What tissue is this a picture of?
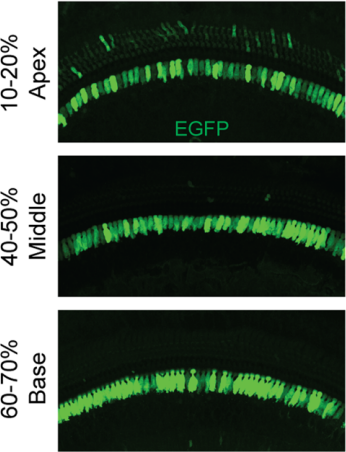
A: cochlea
